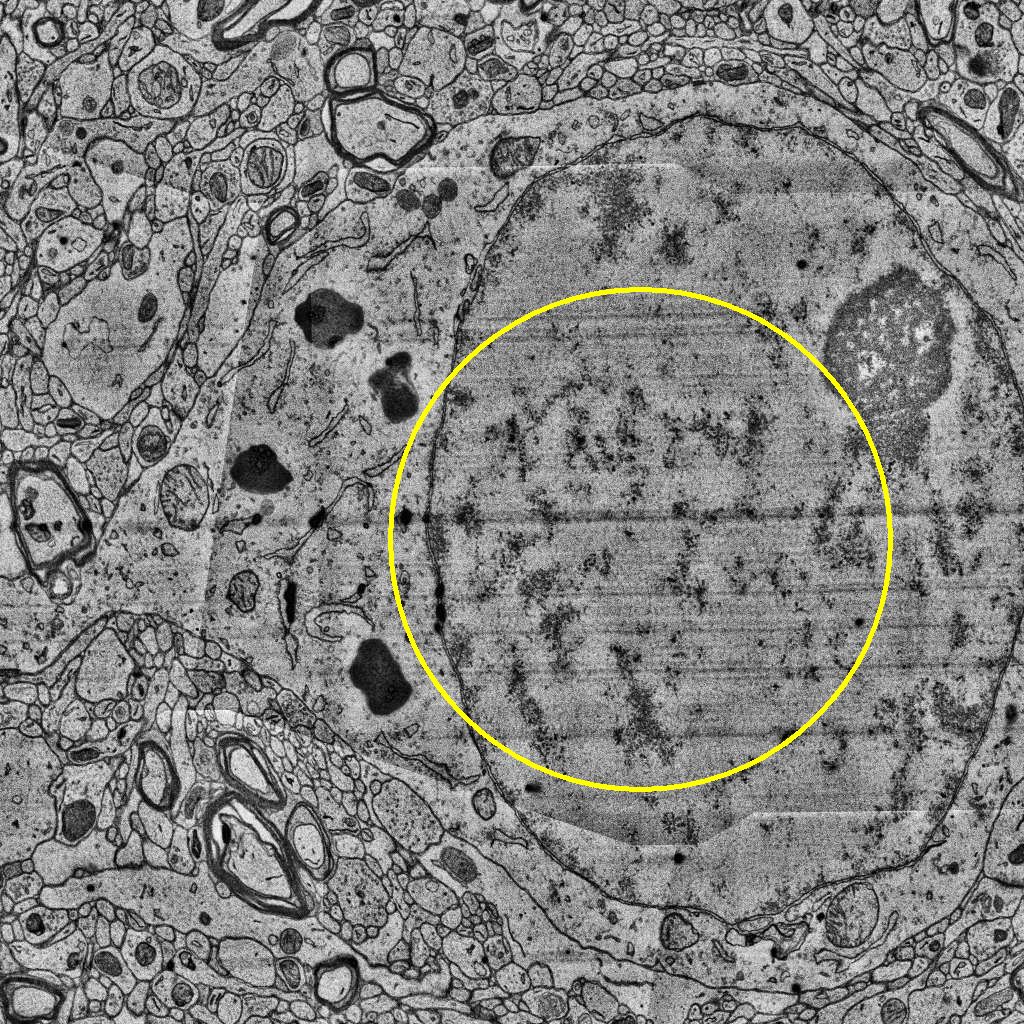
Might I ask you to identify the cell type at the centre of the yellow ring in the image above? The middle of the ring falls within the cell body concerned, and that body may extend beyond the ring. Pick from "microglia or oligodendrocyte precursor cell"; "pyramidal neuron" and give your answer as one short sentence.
The centre of the ring falls on a pyramidal neuron.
